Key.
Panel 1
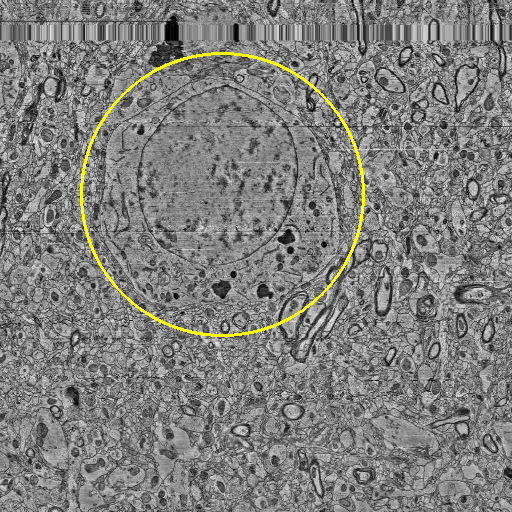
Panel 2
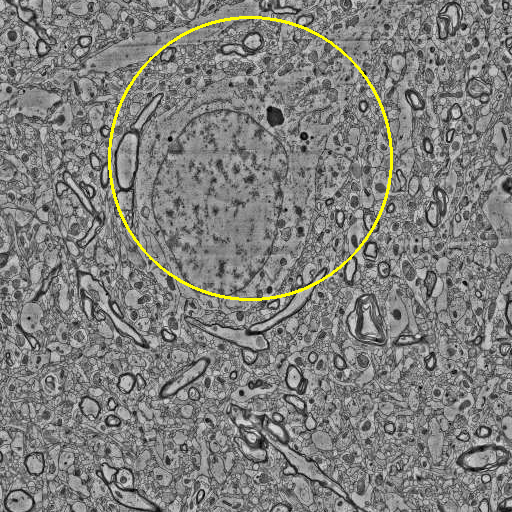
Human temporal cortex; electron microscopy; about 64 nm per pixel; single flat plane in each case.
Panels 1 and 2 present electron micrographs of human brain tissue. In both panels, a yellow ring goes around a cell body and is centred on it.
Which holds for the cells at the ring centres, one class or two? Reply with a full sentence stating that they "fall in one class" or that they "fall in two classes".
Taken together, the ring-centre cells of the two panels fall in one class.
